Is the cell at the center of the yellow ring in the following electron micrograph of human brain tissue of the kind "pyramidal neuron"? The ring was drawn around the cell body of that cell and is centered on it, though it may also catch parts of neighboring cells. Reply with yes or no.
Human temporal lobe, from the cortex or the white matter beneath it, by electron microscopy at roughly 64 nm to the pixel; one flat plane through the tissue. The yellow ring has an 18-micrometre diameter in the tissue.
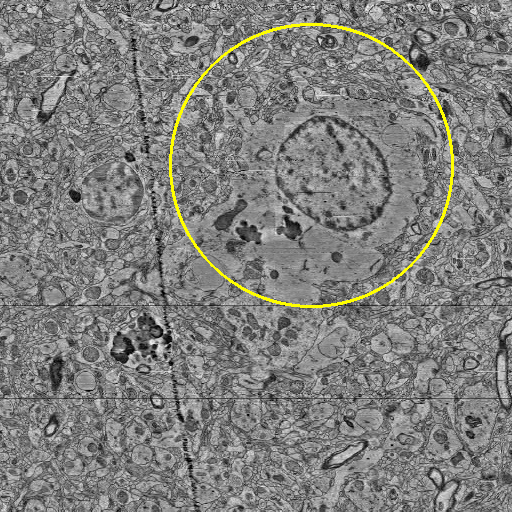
No, it is of another kind.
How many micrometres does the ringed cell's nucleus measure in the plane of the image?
The nucleus appears roughly 8 by 6 micrometres in this plane.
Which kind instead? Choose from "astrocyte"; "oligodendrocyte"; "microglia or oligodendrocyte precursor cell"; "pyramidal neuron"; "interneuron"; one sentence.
The cell shown in the ring is an astrocyte.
